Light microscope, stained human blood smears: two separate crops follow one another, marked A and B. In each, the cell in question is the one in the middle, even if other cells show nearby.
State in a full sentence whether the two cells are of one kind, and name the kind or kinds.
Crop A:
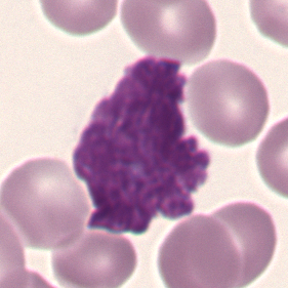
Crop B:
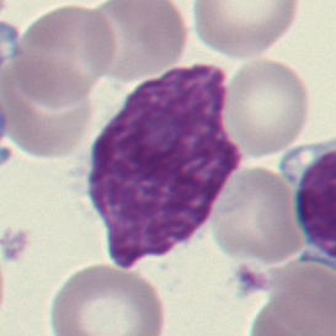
Yes, the two crops both show smudge cells.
